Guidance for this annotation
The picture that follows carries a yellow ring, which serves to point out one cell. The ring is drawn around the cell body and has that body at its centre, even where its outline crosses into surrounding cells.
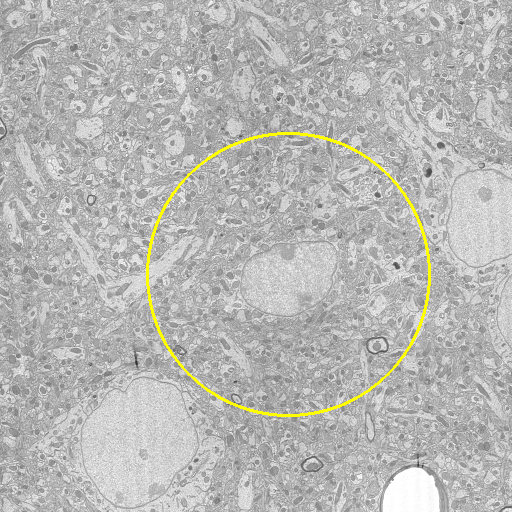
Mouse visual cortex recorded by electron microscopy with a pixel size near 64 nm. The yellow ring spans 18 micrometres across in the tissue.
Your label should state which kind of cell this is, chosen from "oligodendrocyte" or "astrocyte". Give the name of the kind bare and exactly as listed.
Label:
astrocyte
